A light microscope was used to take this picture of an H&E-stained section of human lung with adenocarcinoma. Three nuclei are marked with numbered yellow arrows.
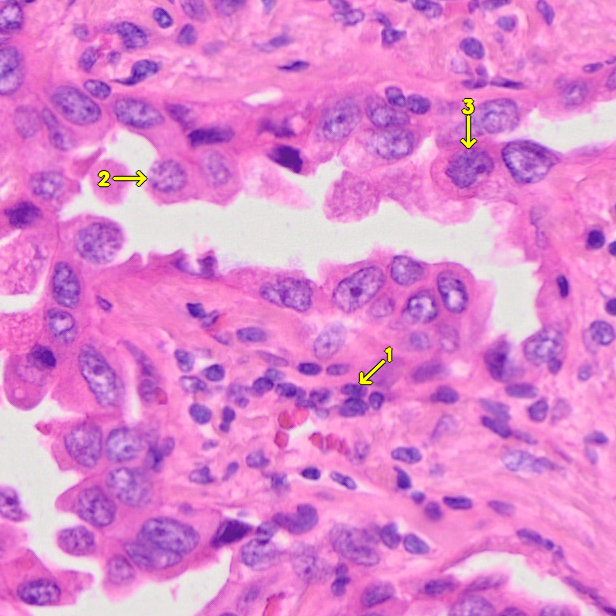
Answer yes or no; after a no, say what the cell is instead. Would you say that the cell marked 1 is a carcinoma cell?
No, it is a lymphocyte.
